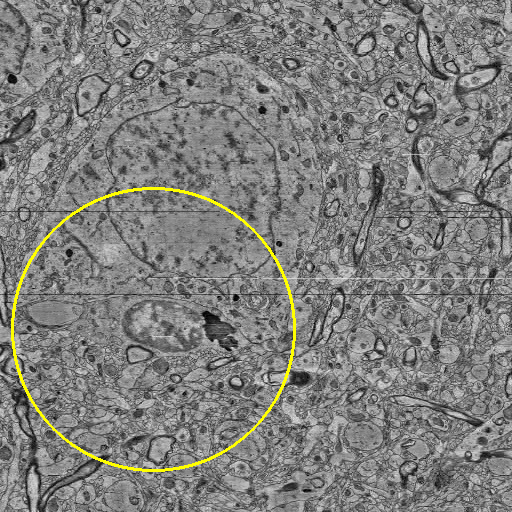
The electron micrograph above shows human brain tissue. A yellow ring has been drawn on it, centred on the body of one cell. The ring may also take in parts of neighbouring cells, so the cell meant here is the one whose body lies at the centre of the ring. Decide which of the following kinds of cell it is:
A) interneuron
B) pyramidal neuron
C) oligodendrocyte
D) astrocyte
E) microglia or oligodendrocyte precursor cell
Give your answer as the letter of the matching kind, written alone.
C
